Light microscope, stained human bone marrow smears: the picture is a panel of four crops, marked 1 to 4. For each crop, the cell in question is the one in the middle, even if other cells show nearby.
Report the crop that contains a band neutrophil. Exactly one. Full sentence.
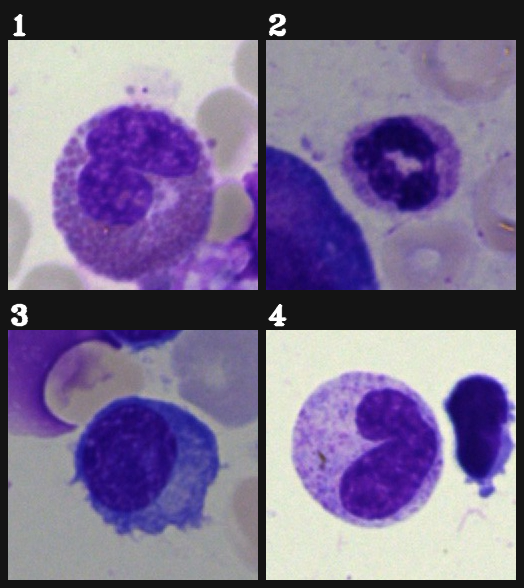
It is in crop 4, among all the crops, that a band neutrophil is present.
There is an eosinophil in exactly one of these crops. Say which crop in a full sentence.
The requested cell, an eosinophil, is the one in crop 1.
